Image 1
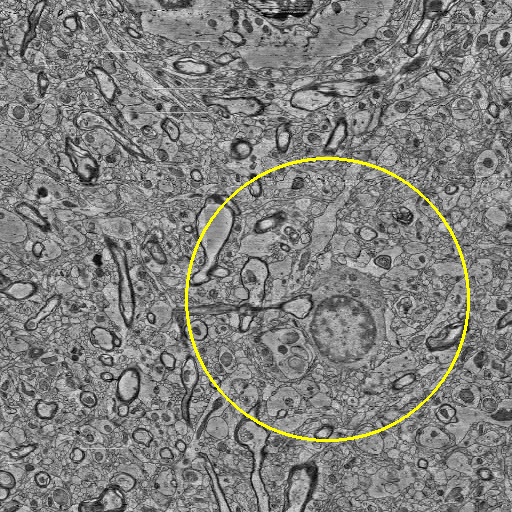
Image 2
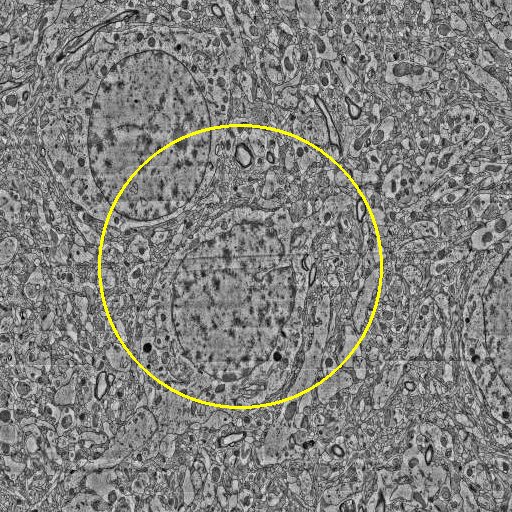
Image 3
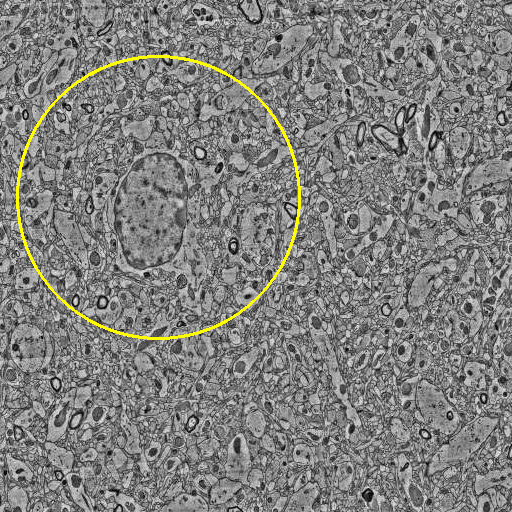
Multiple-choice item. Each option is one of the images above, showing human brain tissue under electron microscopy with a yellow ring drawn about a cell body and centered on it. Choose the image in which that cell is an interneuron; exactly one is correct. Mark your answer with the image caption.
Image 2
